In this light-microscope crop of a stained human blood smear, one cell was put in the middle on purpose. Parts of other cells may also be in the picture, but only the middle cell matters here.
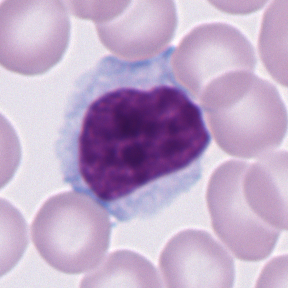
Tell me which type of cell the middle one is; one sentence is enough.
On this slide crop, the central cell is a lymphocyte.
